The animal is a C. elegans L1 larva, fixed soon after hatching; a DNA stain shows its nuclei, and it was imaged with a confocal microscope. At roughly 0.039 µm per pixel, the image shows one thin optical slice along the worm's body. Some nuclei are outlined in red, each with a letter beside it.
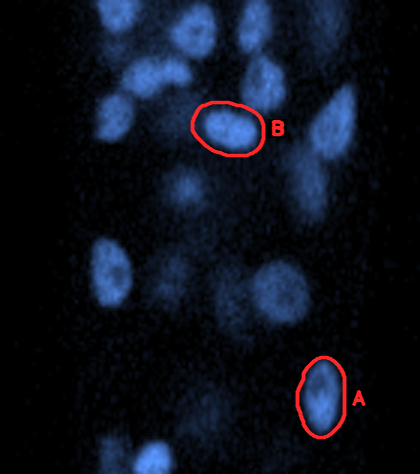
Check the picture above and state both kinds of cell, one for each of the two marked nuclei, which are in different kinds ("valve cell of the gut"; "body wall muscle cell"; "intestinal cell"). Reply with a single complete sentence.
One is from a body wall muscle cell, namely A, and the other, B, is from a valve cell of the gut.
